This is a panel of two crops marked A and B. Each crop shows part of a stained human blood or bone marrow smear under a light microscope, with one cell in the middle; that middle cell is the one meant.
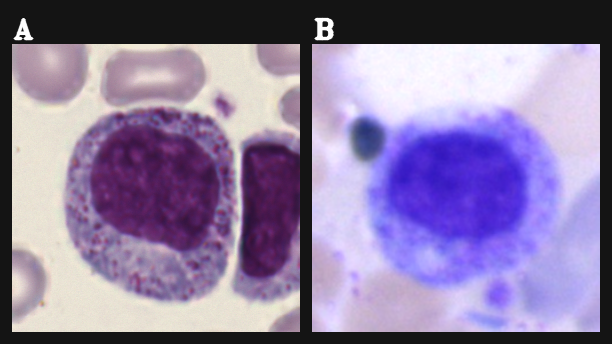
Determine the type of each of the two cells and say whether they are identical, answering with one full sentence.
No, the cells are a promyelocyte in crop A and a myelocyte in crop B.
